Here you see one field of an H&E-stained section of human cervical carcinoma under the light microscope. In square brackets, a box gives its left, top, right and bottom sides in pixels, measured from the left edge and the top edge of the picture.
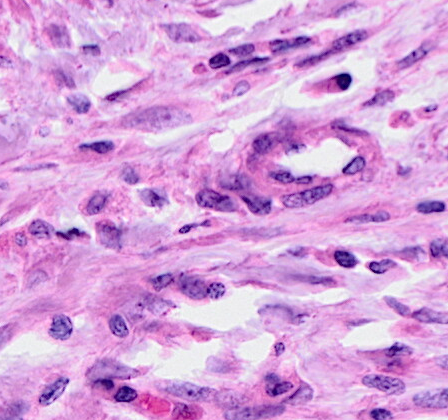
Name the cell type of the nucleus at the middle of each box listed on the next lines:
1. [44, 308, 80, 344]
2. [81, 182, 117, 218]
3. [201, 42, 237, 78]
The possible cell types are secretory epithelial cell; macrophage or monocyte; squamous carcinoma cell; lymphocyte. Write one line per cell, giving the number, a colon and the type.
1: lymphocyte
2: macrophage or monocyte
3: lymphocyte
